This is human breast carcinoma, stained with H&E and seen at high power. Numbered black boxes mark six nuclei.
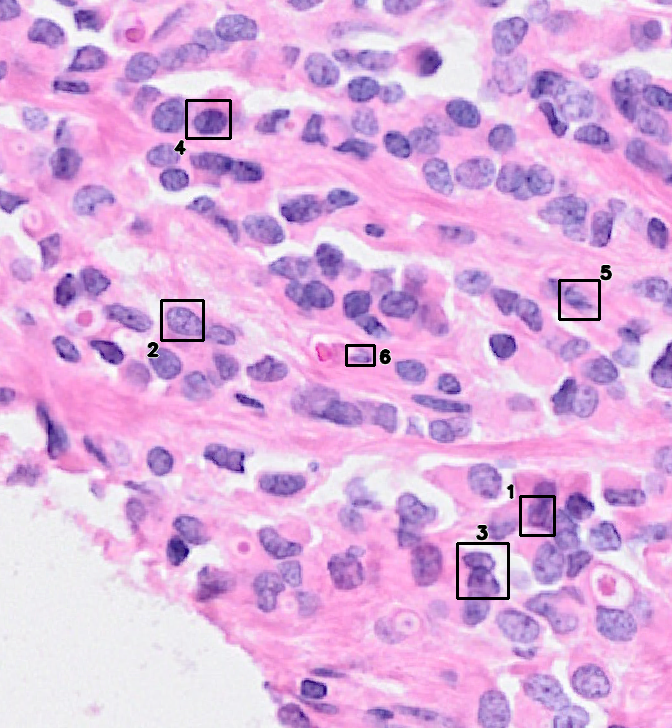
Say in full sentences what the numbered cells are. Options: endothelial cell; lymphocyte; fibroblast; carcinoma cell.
Cells 1, 2, 3 and 4 are carcinoma cells. Cells 5 and 6 are endothelial cells.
